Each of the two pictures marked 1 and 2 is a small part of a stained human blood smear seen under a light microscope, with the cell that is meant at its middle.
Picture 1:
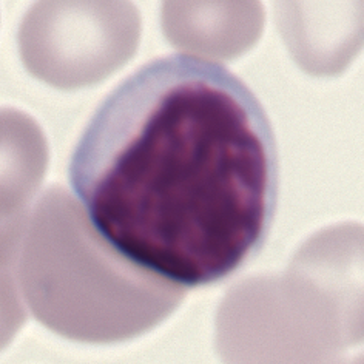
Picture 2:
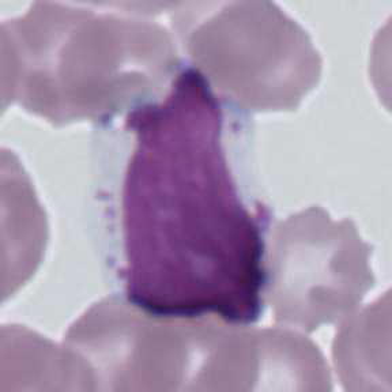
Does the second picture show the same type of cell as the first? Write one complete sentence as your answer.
Yes; the cells in both pictures are large granular lymphocytes.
